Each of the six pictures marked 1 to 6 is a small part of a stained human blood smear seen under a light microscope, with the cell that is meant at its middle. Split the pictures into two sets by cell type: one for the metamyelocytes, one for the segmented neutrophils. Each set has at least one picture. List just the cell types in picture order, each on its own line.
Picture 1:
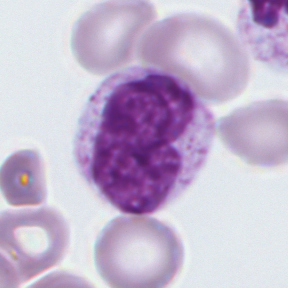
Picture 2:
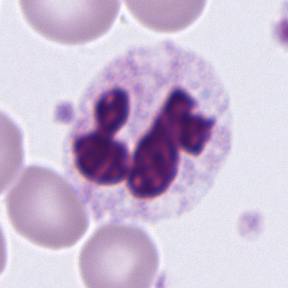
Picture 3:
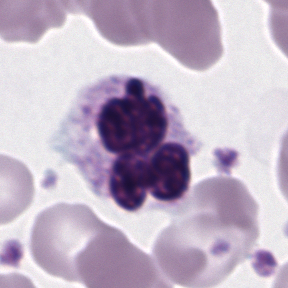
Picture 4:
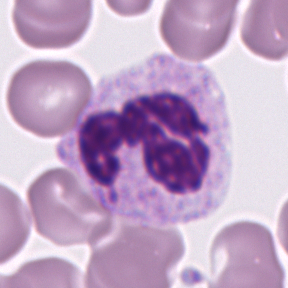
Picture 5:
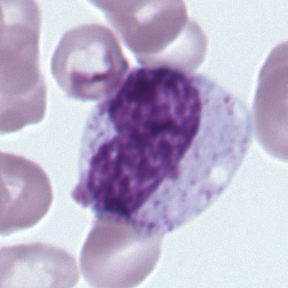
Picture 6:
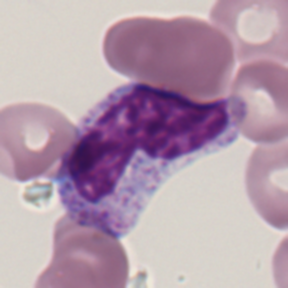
metamyelocyte
segmented neutrophil
segmented neutrophil
segmented neutrophil
metamyelocyte
metamyelocyte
